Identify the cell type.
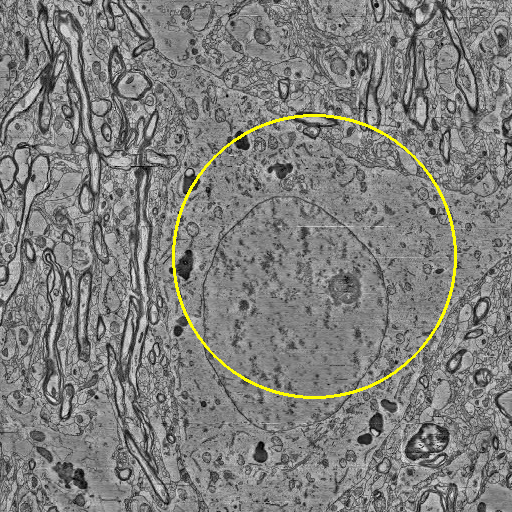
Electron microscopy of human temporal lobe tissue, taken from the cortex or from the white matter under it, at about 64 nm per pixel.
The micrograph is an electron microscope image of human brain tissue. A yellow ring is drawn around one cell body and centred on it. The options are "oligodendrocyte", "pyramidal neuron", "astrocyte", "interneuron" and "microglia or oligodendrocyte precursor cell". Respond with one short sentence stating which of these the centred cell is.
The cell body in the ring belongs to a pyramidal neuron.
